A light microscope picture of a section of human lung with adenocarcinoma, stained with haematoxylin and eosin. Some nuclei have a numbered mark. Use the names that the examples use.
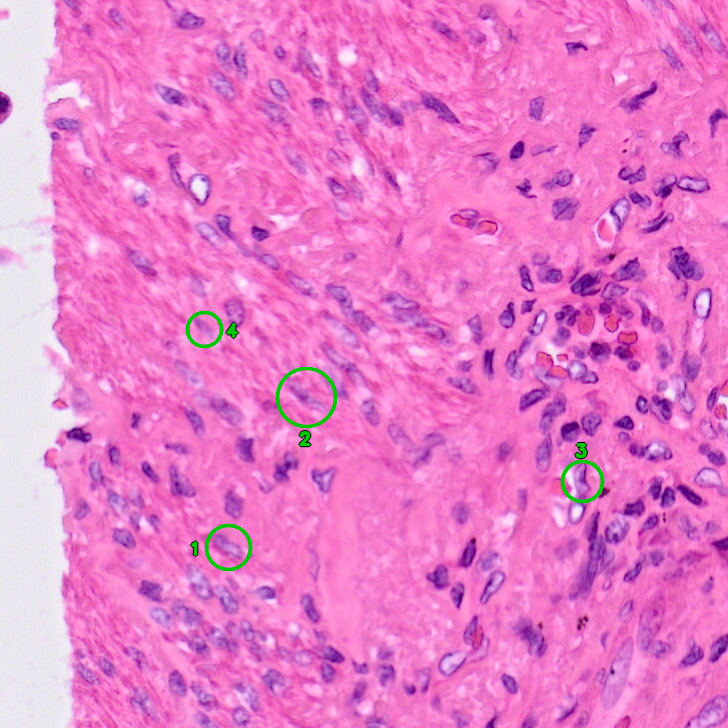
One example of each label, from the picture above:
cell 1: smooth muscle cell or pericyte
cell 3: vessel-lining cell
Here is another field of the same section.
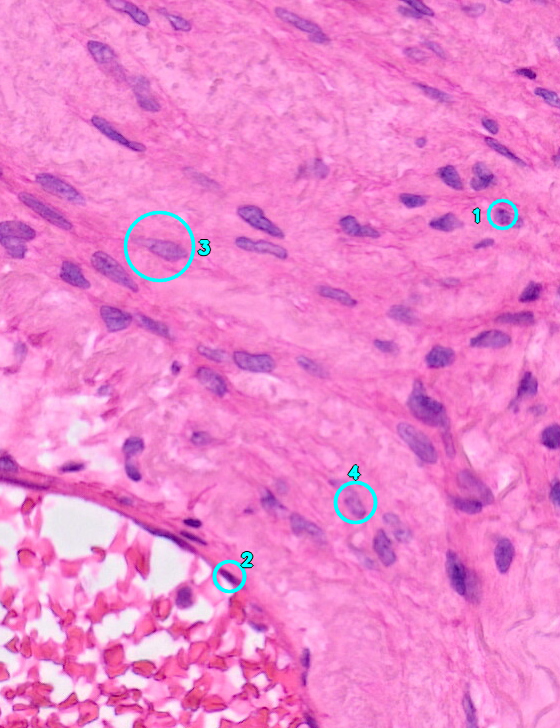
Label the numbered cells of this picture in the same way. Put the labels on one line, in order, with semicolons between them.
smooth muscle cell or pericyte; vessel-lining cell; smooth muscle cell or pericyte; smooth muscle cell or pericyte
